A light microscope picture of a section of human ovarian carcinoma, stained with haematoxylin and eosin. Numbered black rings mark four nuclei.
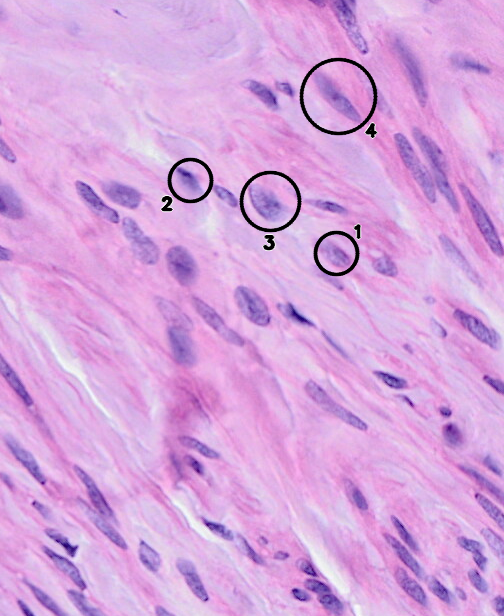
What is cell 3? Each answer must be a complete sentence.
Numbered cell 3 is a fibroblast in this tissue section.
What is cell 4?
Among the marked cells, number 4 is a smooth muscle cell.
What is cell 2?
The cell identified by number 2 is a fibroblast.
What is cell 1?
Belonging to a smooth muscle cell is the nucleus that carries the number 1.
